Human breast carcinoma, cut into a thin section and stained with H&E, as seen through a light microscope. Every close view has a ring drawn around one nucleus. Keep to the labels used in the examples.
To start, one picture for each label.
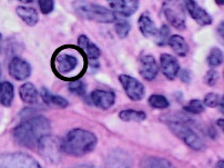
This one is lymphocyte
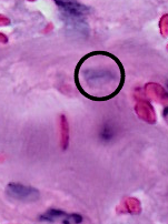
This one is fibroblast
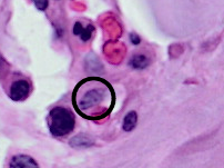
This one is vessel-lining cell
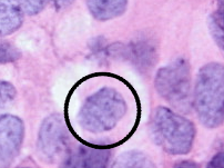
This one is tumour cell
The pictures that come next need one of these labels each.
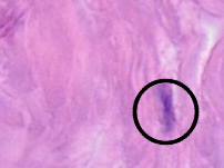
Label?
fibroblast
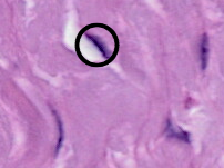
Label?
fibroblast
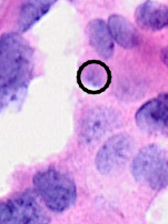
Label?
tumour cell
